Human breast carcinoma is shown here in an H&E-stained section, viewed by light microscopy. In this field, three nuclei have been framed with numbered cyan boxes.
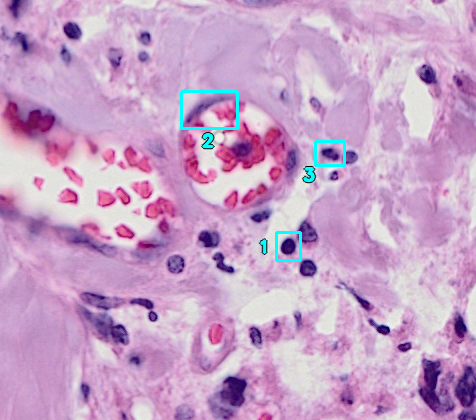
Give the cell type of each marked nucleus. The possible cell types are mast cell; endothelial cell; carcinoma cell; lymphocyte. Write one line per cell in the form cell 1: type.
cell 1: lymphocyte
cell 2: endothelial cell
cell 3: lymphocyte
